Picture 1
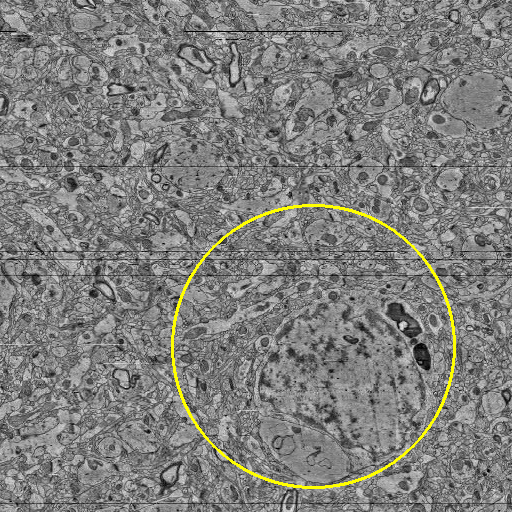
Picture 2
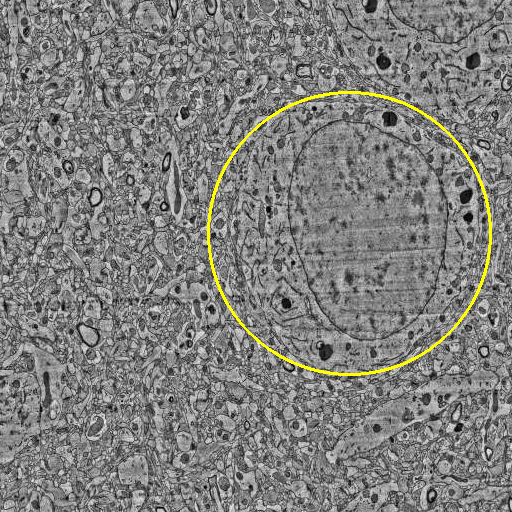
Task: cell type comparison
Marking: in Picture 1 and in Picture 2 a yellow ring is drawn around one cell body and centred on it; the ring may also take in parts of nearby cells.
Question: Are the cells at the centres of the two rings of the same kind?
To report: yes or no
no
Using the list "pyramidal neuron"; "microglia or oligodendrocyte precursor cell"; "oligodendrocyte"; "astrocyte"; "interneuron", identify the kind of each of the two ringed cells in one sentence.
The first is an interneuron and the second is a pyramidal neuron.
